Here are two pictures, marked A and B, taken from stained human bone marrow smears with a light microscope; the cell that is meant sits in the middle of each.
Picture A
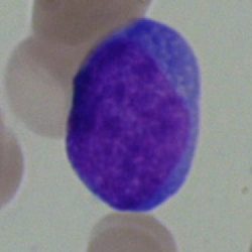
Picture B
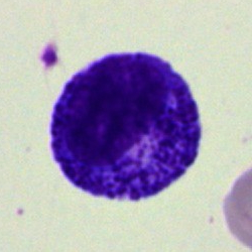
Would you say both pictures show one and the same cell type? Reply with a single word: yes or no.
no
